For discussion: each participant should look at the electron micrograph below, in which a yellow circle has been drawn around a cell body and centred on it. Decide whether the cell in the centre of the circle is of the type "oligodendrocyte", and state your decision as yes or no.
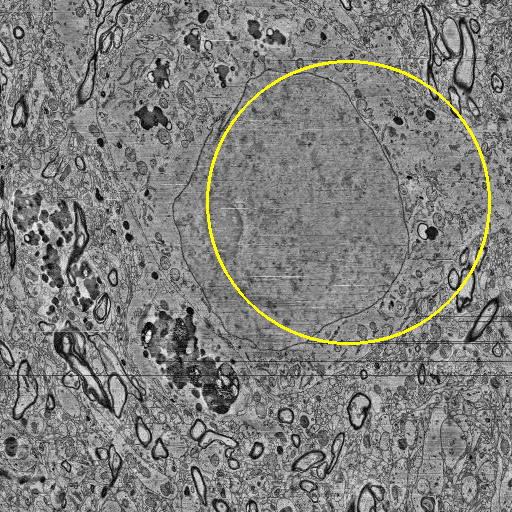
no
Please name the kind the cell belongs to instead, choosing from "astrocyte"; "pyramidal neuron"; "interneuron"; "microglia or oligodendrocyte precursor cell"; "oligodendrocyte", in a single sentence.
Instead, the cell at the centre of the yellow ring is a pyramidal neuron.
